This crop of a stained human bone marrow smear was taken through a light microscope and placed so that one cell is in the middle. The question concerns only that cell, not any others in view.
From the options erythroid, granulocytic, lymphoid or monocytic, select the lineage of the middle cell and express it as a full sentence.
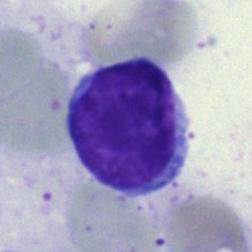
Lineage-wise, the cell in the center of the crop is lymphoid.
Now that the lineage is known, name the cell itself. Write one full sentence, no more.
This crop has a lymphocyte at its centre.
